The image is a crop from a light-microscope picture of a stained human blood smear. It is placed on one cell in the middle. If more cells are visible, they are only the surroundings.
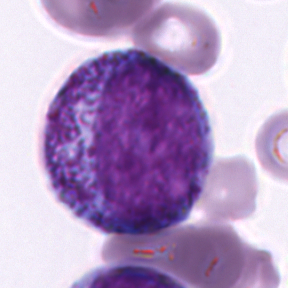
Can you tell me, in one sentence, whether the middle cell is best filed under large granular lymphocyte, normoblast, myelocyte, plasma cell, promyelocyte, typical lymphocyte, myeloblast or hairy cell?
The cell at the heart of this crop is a promyelocyte.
